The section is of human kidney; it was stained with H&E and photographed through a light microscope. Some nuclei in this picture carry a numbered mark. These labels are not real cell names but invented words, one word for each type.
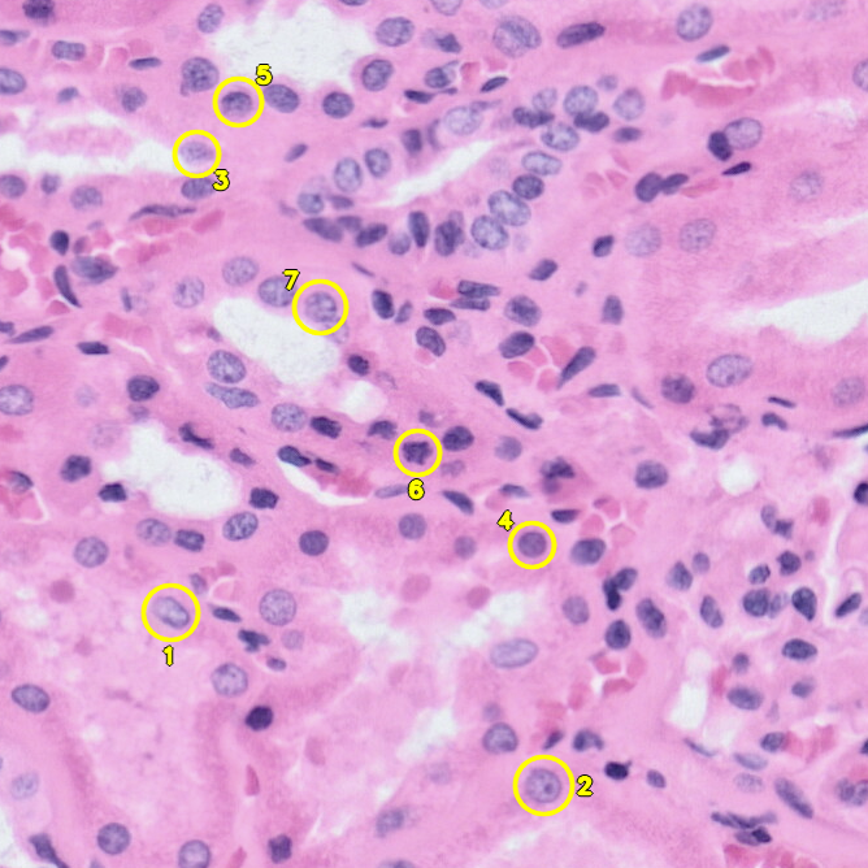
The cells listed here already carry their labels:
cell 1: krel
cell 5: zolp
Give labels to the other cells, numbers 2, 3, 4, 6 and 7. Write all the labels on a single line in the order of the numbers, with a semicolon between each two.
krel; zolp; krel; zolp; zolp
